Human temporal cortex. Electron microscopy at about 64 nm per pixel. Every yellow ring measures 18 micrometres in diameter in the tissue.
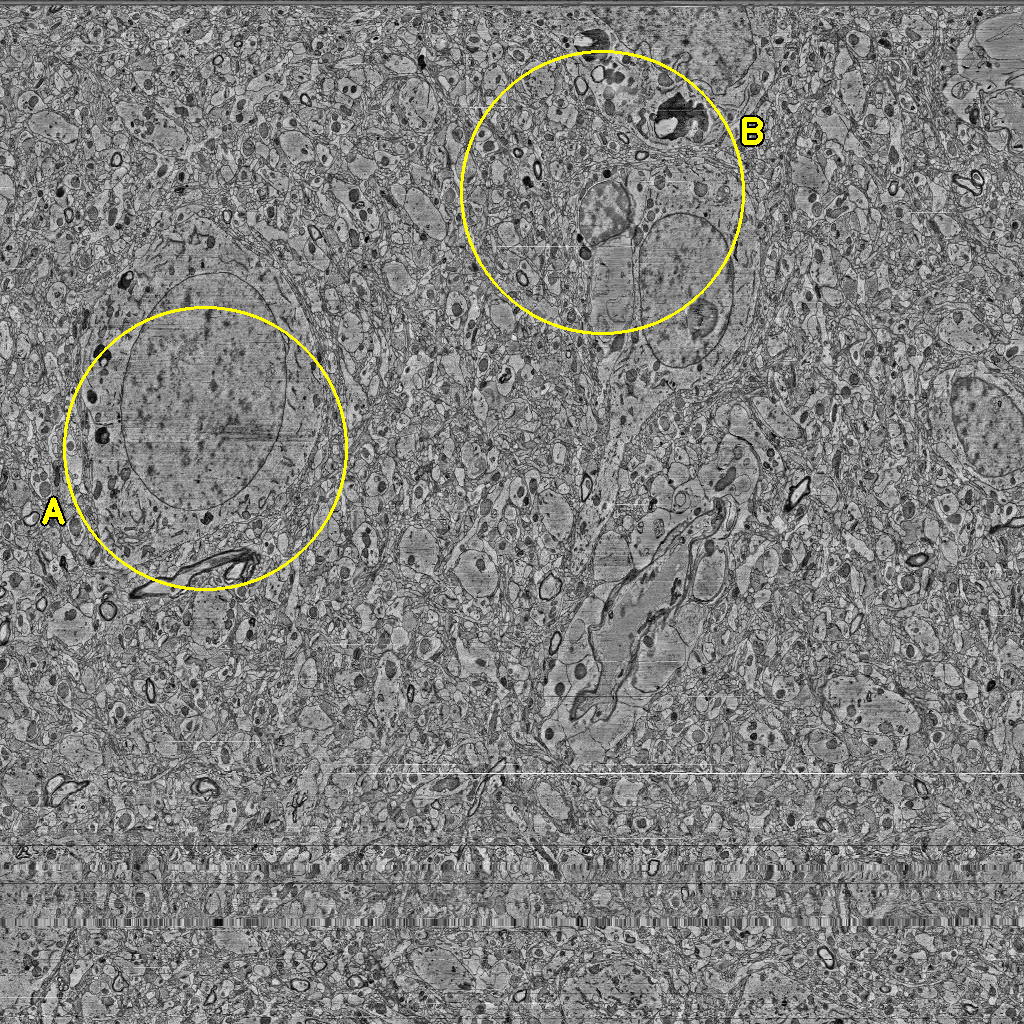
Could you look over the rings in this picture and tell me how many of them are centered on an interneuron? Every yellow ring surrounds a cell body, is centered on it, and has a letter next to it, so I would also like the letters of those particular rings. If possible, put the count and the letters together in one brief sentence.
Checking every lettered ring turns up none centred on an interneuron, so the count stands at zero.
